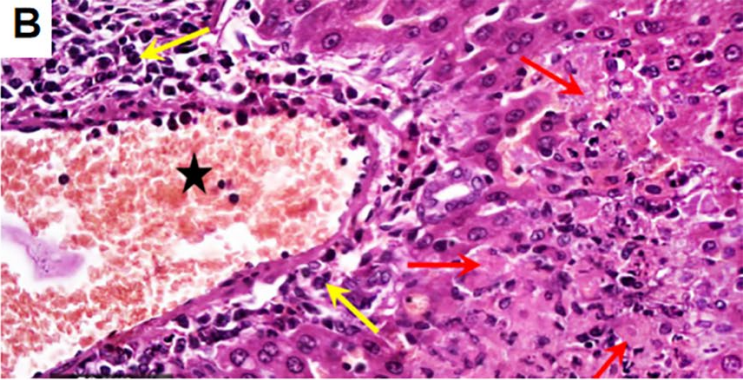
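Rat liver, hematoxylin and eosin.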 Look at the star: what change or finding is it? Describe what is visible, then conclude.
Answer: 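Marked dilatation of hepatic vasculatures. A large wide vessel lumen. The lumen is packed with red blood cells.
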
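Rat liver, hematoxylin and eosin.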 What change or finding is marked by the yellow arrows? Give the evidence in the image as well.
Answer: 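Perivascular mononuclear inflammatory cells infiltrates. Dense clusters of small round dark nuclei. The clusters lie around the large vessel.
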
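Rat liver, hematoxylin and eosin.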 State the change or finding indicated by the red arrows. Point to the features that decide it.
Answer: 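Patches where liver cells have lost clear outlines and nuclei. Paler, disorganized areas with scattered dark small nuclei.
Answer: focal hepatocellular necrosis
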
